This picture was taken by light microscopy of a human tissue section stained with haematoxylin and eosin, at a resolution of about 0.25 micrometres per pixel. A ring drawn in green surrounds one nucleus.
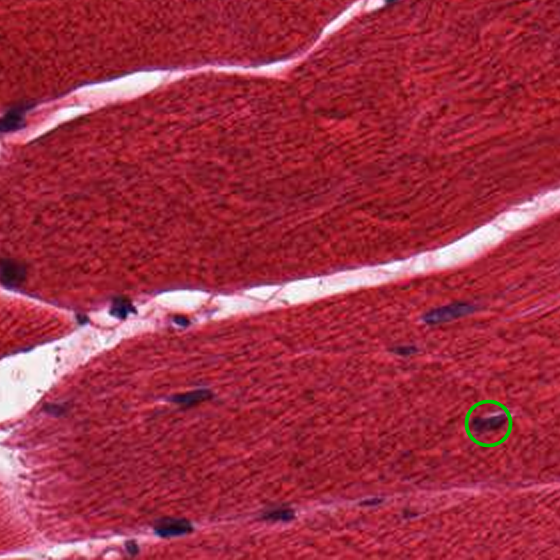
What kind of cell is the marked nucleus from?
skeletal muscle fibre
